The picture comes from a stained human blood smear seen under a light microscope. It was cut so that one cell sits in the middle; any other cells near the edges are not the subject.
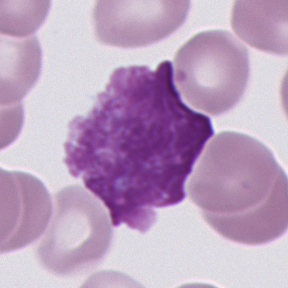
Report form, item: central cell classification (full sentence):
The target cell in the middle of the crop is a smudge cell.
